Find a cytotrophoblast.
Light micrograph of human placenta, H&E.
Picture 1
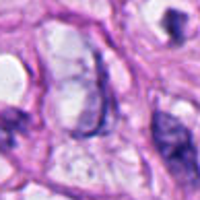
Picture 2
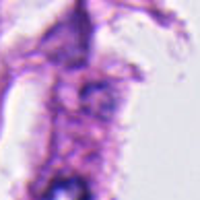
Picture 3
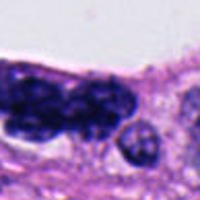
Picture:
2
